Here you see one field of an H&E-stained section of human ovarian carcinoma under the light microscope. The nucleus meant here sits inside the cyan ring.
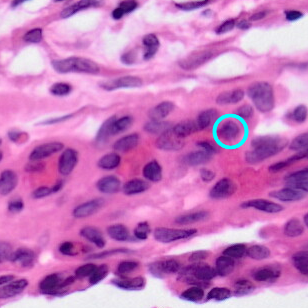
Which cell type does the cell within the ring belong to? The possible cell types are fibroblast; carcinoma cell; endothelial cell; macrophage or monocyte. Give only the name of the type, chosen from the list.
endothelial cell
